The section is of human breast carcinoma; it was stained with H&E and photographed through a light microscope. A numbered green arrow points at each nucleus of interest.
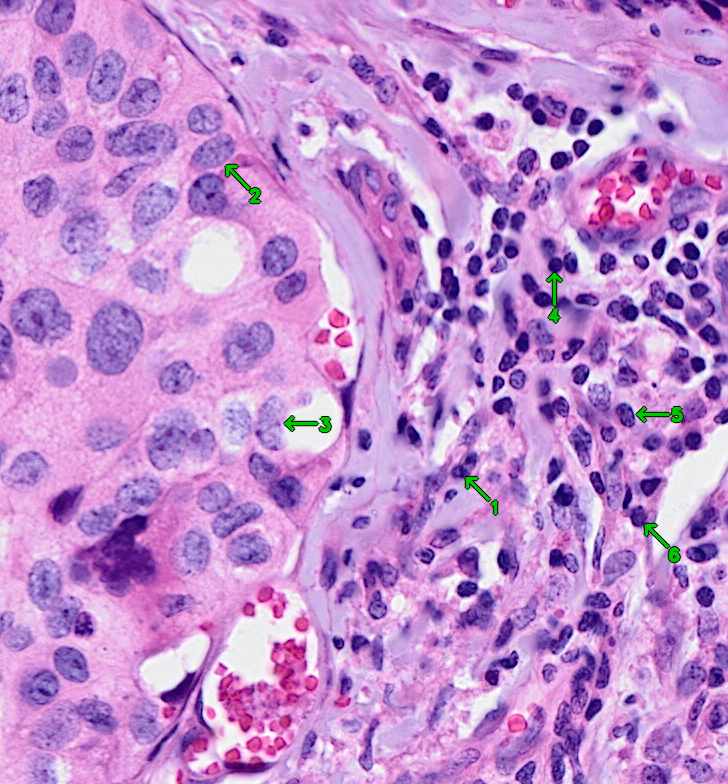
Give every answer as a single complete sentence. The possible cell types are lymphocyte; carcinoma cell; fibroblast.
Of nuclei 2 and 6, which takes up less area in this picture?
It is nucleus 6; nucleus 2 has about 2.5 times its area.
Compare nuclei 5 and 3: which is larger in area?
The larger nucleus is 3, at roughly 3 times the area of 5.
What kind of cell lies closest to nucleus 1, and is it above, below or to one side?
Lying above and to the right of nucleus 1, the nearest nucleus is that of a lymphocyte.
